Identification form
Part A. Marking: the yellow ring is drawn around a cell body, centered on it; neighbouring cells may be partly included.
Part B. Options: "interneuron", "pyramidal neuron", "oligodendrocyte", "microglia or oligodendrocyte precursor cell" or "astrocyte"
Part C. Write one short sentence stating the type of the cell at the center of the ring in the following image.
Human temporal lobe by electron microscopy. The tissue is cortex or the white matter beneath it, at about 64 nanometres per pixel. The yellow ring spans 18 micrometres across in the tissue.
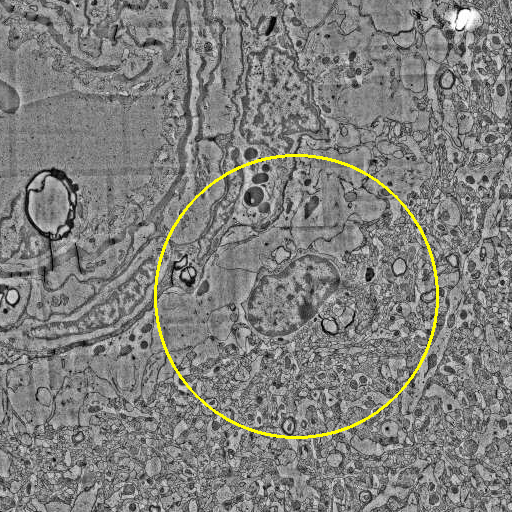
The center of the ring holds a microglial cell or oligodendrocyte precursor cell.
